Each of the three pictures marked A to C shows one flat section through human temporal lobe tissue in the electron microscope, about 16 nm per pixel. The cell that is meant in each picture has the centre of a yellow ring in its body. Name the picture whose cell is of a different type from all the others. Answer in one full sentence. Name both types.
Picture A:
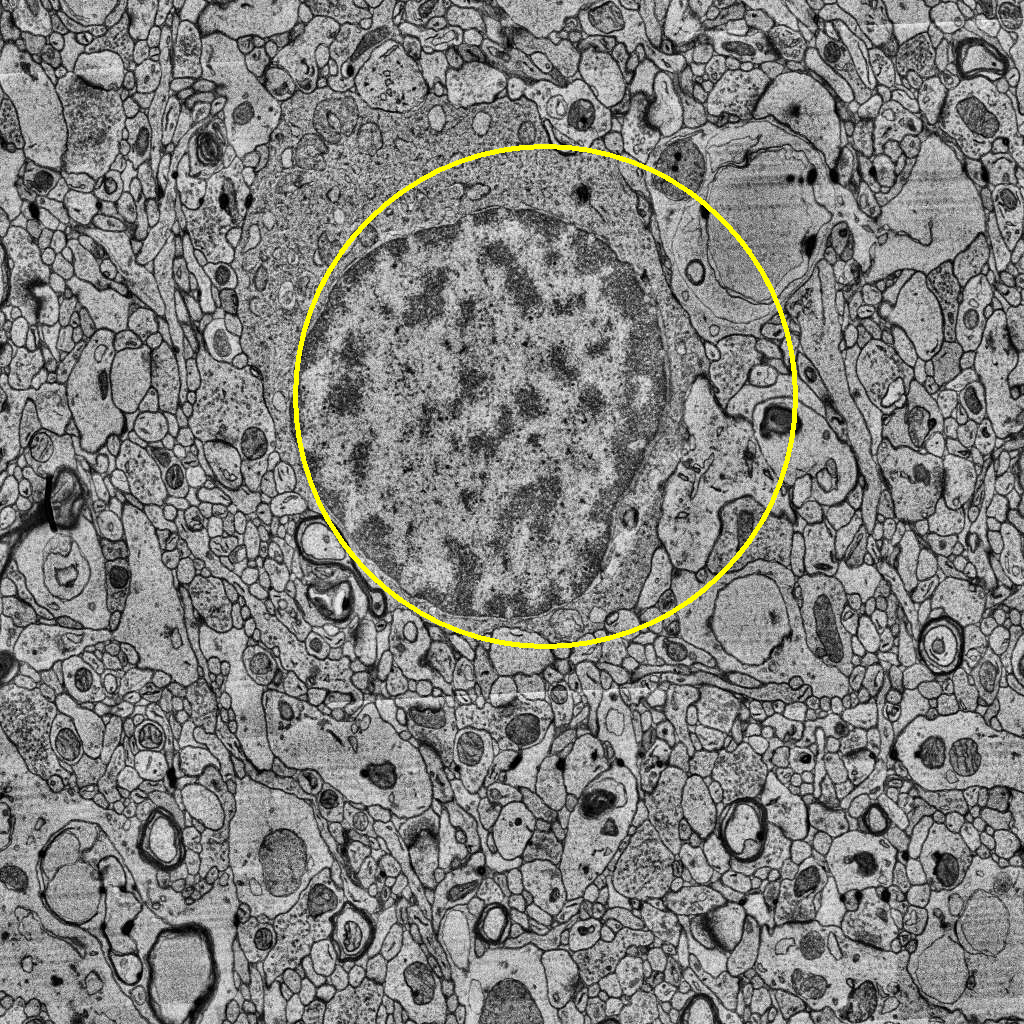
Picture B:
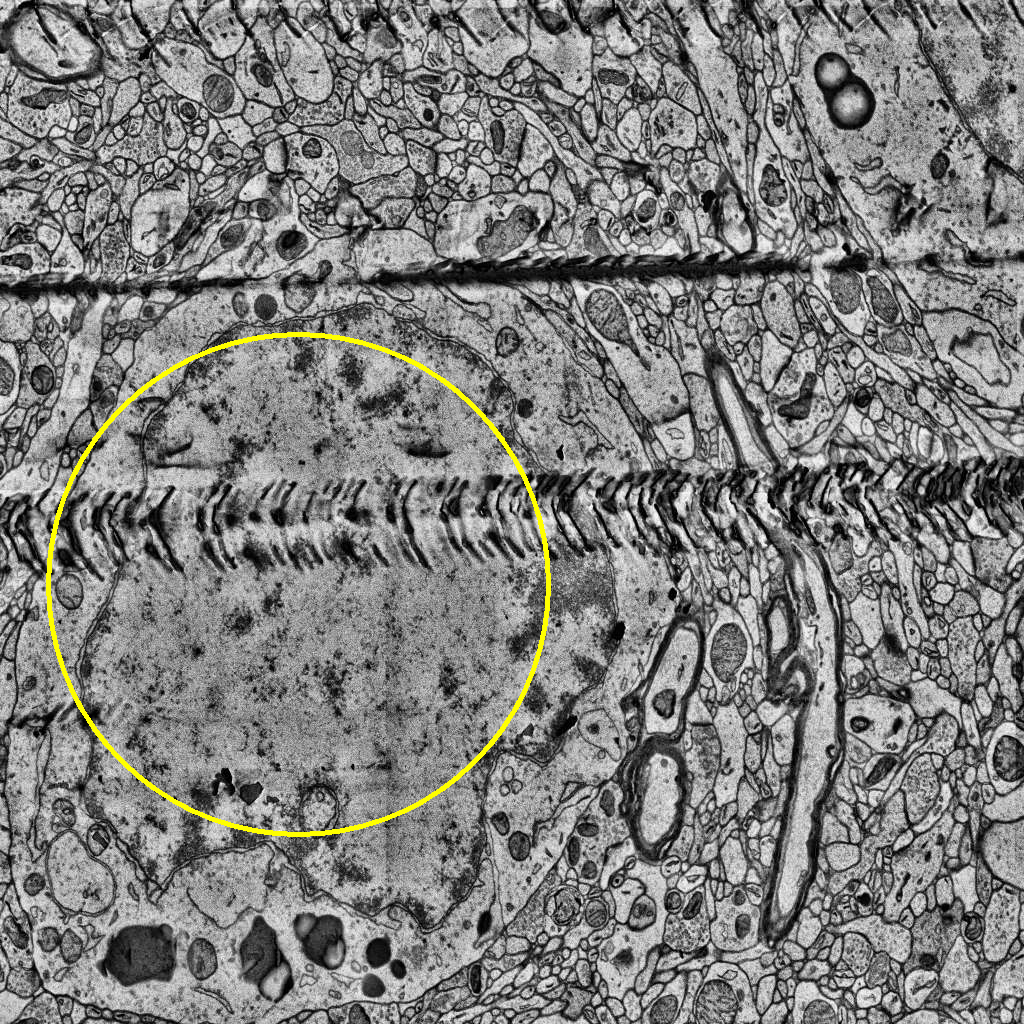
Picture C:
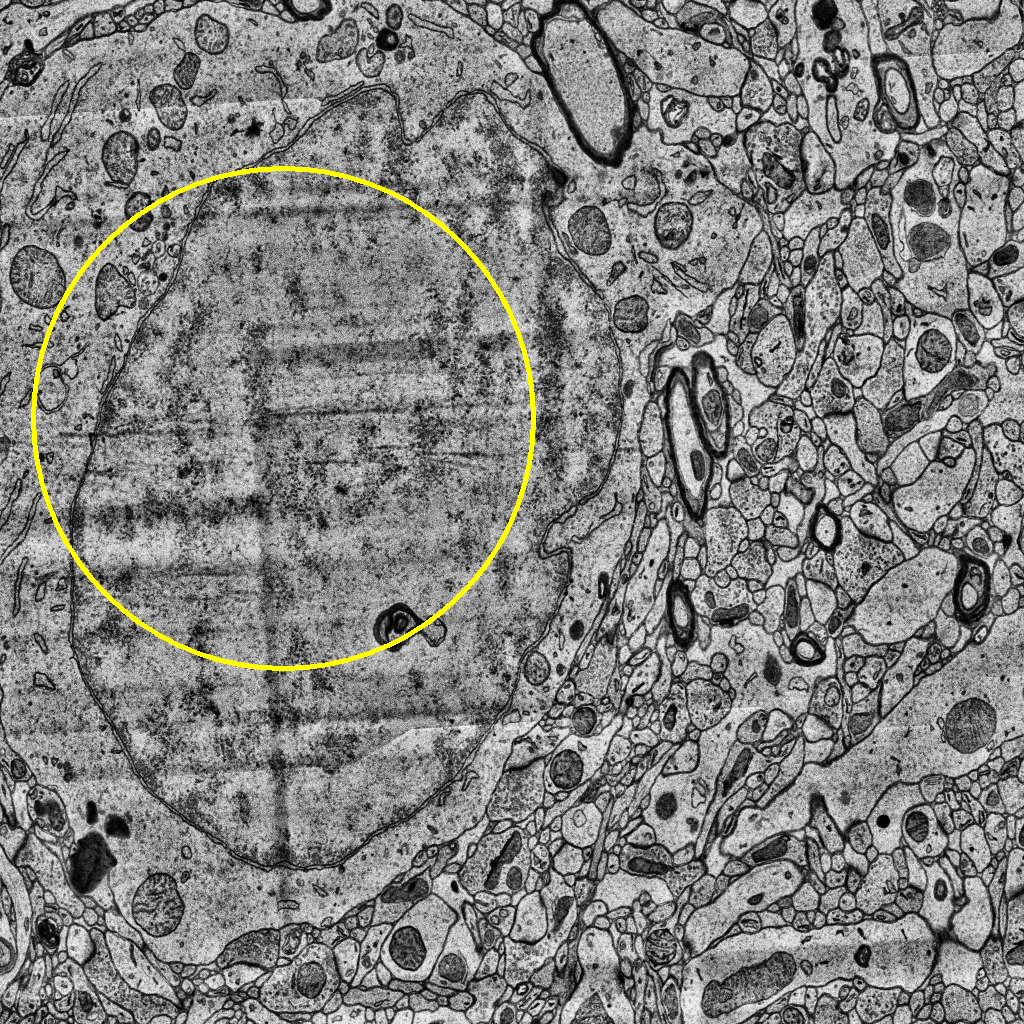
All pictures except A show interneurons; picture A shows an oligodendrocyte.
